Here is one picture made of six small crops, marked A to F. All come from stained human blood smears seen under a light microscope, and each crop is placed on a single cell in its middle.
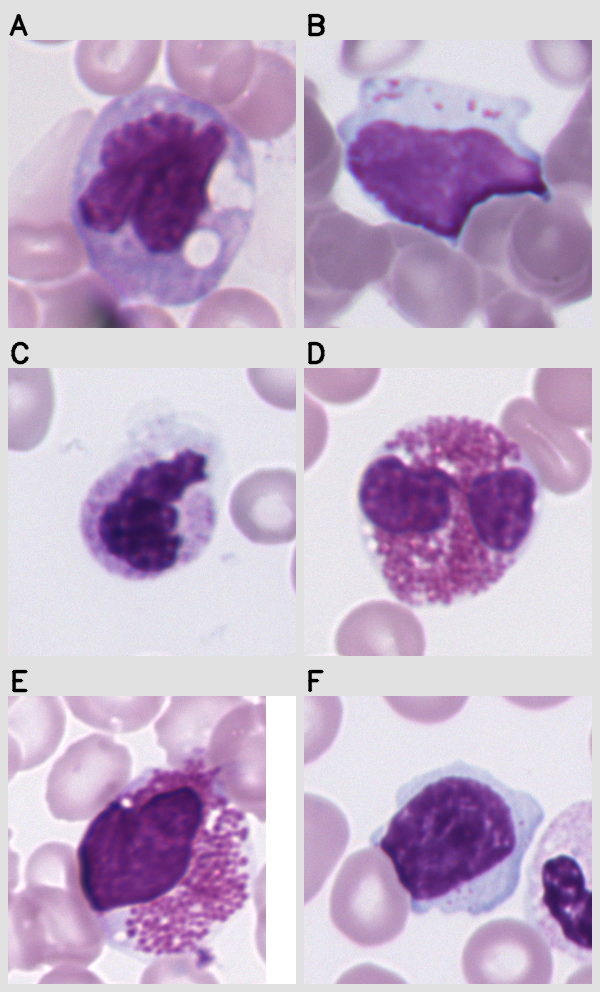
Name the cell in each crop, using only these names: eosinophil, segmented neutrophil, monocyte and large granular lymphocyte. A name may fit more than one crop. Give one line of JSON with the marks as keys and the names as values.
{"A": "monocyte", "B": "large granular lymphocyte", "C": "segmented neutrophil", "D": "eosinophil", "E": "eosinophil", "F": "large granular lymphocyte"}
